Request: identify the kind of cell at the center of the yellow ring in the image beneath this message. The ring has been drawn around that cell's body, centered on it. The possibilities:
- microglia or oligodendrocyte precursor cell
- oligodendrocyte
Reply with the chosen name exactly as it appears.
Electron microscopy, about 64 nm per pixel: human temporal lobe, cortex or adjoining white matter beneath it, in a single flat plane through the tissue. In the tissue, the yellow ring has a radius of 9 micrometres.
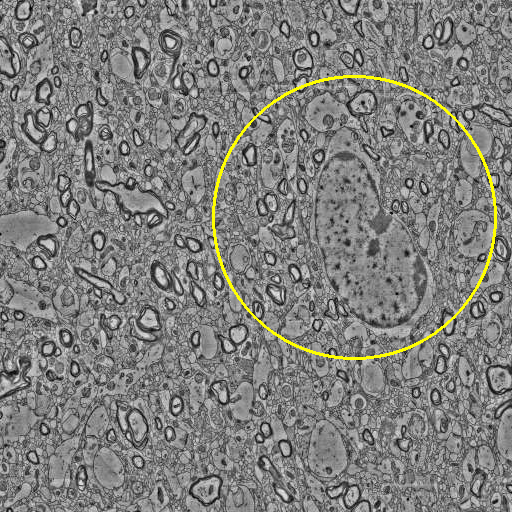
microglia or oligodendrocyte precursor cell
